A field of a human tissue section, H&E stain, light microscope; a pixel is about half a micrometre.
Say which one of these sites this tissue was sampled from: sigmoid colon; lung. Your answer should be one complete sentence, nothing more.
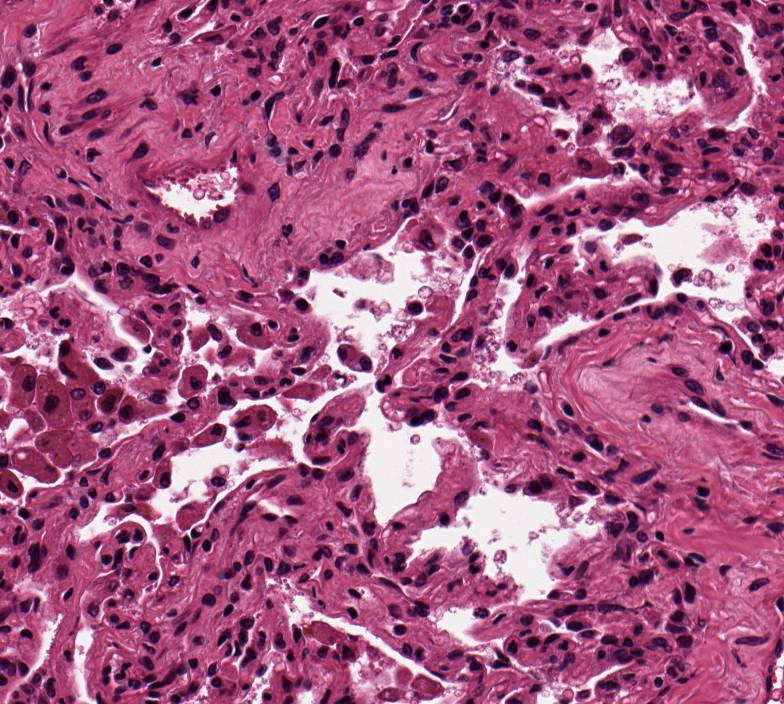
Tissue sampled from the lung forms this section.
